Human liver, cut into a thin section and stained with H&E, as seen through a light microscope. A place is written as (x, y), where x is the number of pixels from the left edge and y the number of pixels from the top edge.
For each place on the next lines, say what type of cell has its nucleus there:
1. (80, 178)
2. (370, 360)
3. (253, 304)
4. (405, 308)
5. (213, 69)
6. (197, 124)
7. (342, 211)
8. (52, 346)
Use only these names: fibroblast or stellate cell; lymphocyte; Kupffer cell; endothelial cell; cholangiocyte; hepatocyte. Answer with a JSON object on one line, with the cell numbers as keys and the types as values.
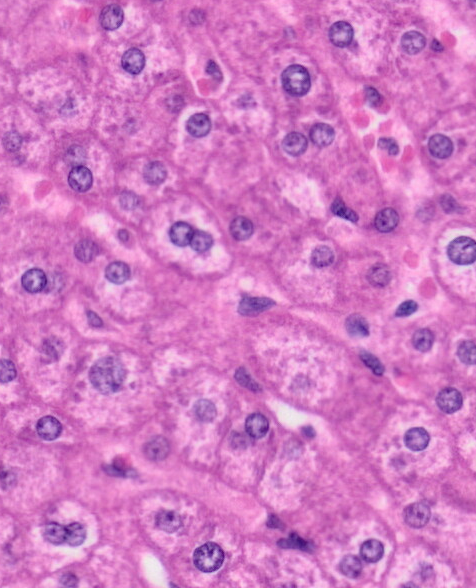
{"1": "hepatocyte", "2": "fibroblast or stellate cell", "3": "Kupffer cell", "4": "lymphocyte", "5": "Kupffer cell", "6": "hepatocyte", "7": "fibroblast or stellate cell", "8": "hepatocyte"}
